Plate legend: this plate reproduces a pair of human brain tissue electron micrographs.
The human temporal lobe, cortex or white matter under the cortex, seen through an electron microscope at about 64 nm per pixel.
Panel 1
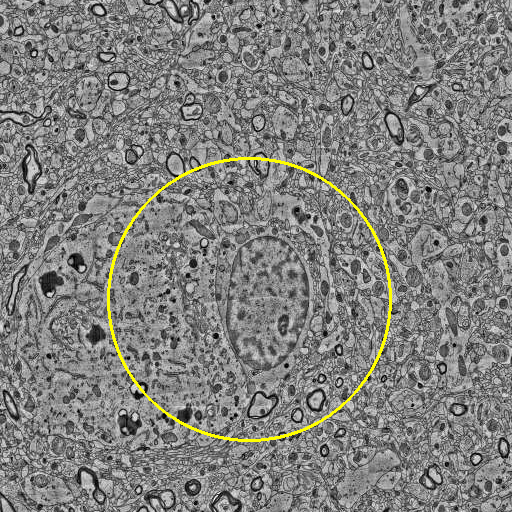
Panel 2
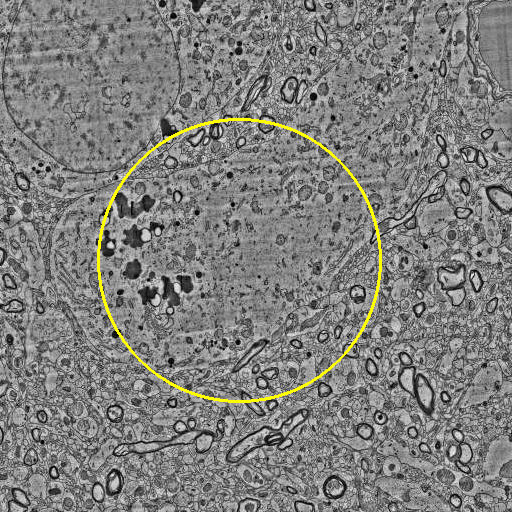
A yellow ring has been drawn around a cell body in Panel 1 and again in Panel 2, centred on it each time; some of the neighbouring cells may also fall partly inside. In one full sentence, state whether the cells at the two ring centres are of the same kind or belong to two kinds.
The ring-centred cells of Panel 1 and Panel 2 belong to two kinds.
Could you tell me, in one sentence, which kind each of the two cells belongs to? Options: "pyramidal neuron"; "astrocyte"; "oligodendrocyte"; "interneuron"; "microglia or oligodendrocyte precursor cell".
At the centre of the first ring sits an oligodendrocyte, and at the centre of the second sits a pyramidal neuron.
